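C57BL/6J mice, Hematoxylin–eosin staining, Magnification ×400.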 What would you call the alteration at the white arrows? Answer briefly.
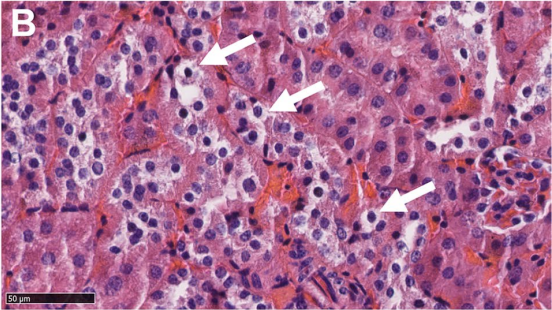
Renal tubular cell vacuolization.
